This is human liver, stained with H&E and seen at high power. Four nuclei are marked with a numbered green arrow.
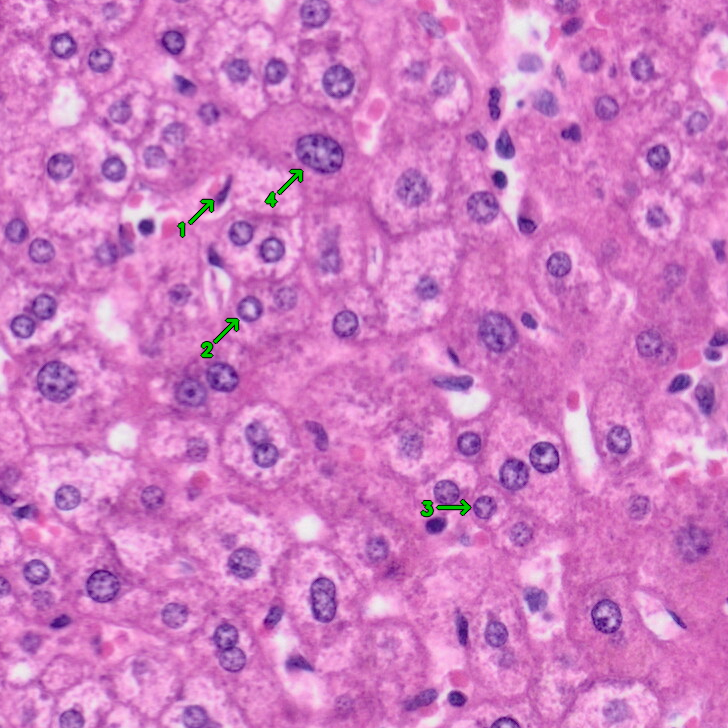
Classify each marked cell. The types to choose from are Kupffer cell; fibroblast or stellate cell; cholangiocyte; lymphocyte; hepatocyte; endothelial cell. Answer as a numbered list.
1. Kupffer cell
2. hepatocyte
3. hepatocyte
4. hepatocyte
